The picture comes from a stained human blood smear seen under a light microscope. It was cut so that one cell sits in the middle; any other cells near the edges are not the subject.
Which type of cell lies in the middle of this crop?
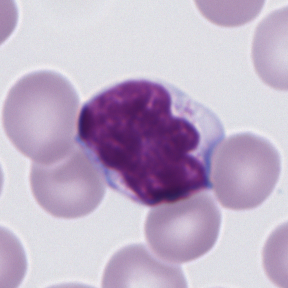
large granular lymphocyte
